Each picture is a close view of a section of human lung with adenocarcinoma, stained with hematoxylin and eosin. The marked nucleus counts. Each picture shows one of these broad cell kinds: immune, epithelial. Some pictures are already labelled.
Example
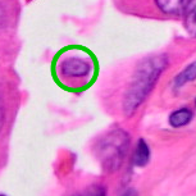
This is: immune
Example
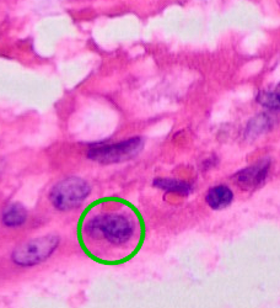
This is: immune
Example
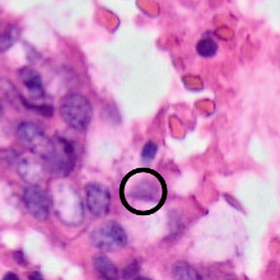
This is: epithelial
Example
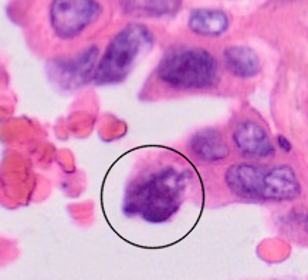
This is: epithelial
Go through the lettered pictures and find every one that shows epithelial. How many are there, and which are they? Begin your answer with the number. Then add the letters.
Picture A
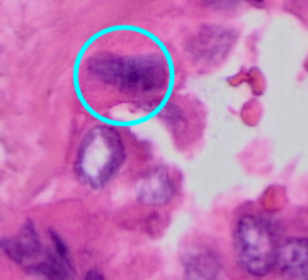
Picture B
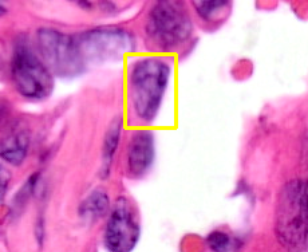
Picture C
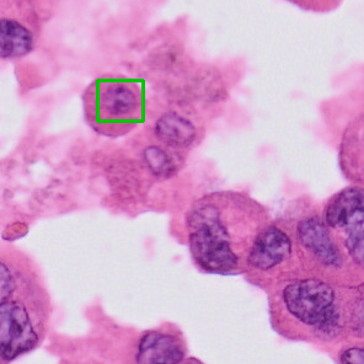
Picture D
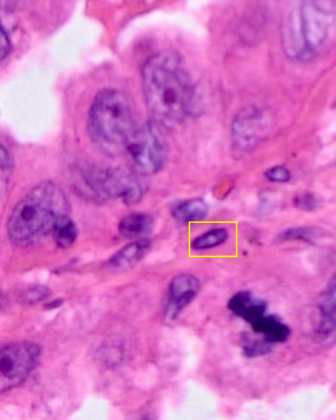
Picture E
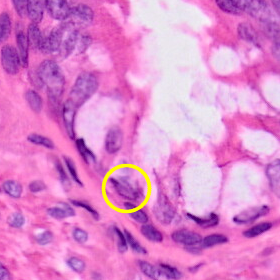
3: A, B, E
